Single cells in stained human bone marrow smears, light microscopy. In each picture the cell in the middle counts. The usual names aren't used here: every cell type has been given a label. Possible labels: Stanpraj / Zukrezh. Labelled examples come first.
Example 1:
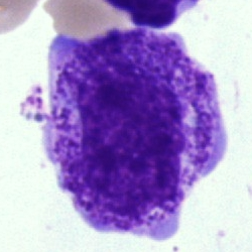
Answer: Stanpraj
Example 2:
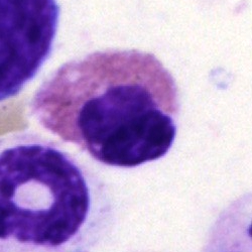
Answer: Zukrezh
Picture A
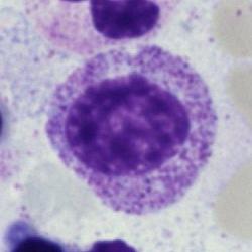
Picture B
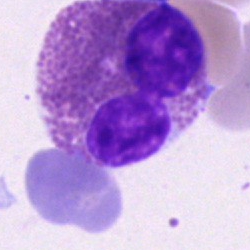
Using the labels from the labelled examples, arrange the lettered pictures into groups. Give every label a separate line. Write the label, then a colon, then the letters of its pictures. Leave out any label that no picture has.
Stanpraj: A
Zukrezh: B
